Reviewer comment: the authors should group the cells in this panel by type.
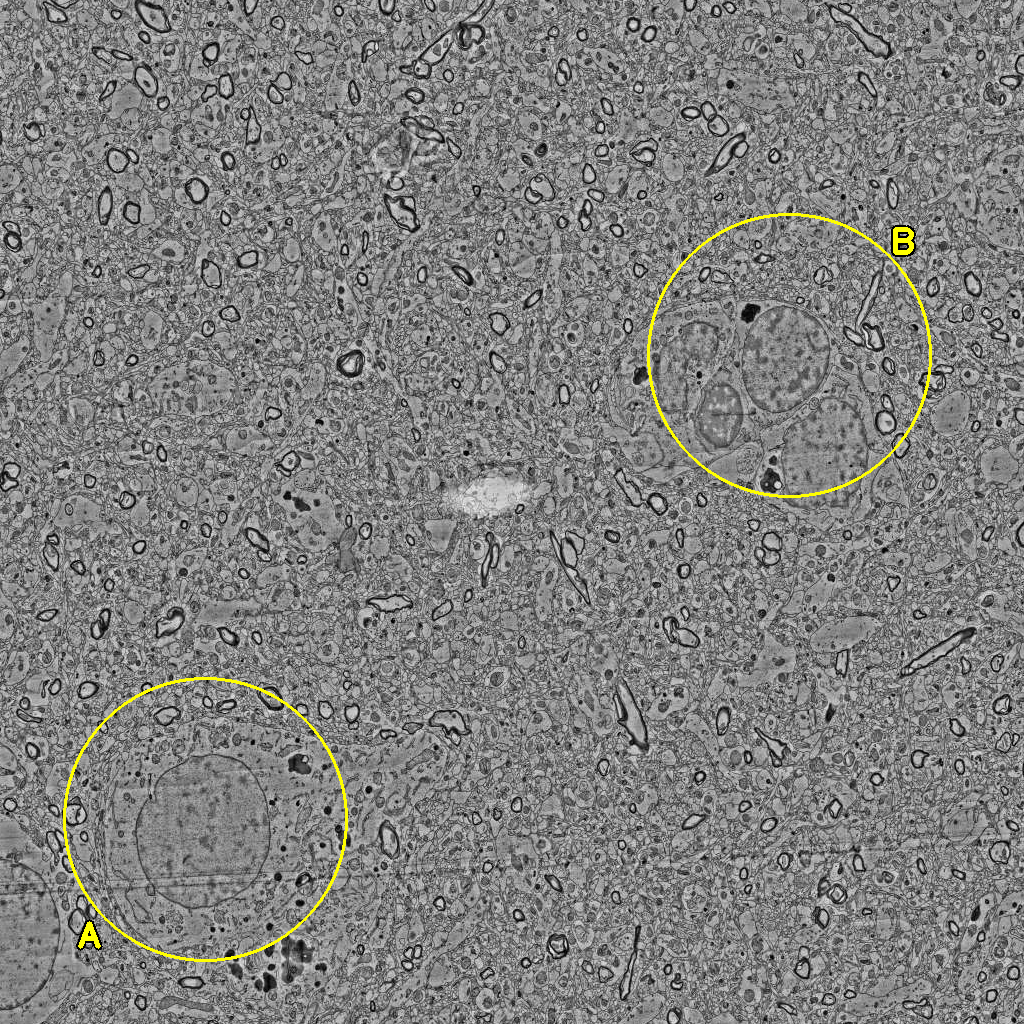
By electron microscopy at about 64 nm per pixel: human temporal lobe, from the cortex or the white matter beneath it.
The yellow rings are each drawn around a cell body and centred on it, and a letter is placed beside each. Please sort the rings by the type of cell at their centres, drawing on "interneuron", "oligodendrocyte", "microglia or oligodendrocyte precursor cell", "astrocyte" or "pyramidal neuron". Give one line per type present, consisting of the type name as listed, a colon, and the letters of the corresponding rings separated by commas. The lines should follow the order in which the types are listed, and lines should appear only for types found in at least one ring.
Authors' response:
oligodendrocyte: B
pyramidal neuron: A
